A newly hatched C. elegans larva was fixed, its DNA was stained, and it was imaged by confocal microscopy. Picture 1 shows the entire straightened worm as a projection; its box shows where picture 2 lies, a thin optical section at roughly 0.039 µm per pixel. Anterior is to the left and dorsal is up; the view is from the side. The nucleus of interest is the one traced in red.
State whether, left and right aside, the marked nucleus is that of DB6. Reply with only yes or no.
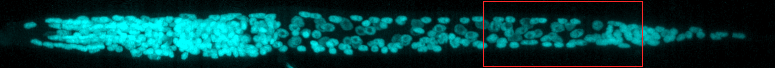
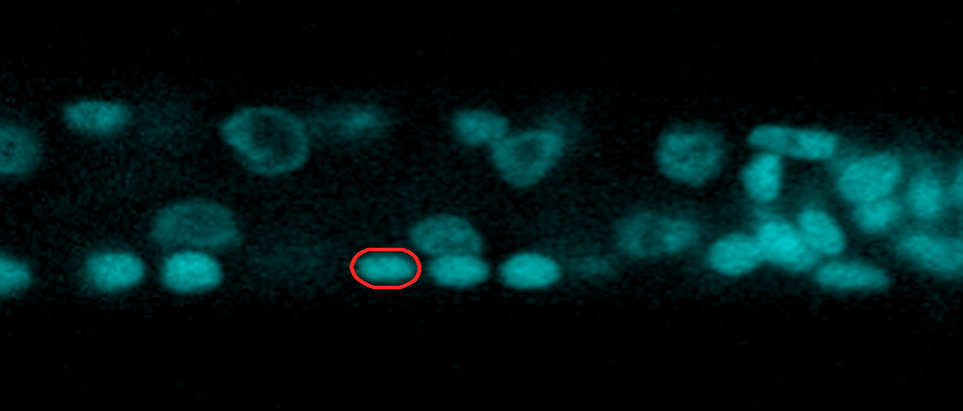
no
